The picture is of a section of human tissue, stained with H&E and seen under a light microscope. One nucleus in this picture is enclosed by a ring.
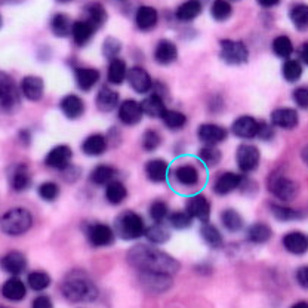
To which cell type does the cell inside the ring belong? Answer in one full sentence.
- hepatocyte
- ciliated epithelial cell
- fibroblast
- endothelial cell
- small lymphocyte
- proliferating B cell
It is as a small lymphocyte that the cell inside the ring is recorded.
